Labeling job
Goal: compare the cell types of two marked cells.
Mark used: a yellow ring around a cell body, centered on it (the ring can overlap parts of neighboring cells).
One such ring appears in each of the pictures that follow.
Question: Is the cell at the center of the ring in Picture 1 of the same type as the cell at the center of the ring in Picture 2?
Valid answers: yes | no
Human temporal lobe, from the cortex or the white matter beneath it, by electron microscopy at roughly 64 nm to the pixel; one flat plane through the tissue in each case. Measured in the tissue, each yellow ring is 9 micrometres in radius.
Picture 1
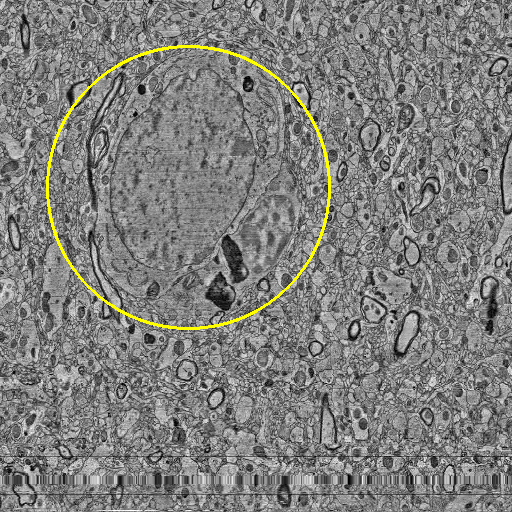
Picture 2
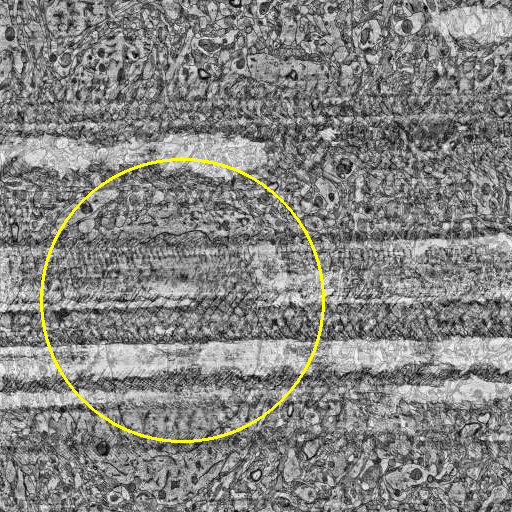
no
